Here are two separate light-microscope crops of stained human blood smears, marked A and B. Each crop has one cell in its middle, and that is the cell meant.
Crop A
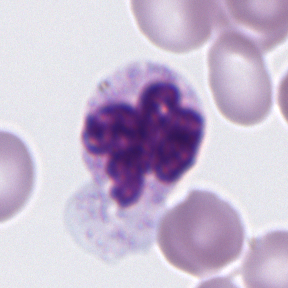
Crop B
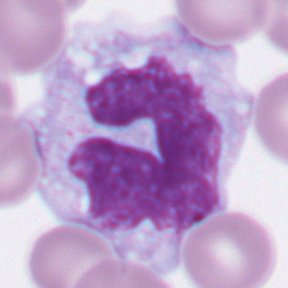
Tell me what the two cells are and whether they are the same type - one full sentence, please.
No, crop A offers a neutrophil, while crop B offers a monocyte.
